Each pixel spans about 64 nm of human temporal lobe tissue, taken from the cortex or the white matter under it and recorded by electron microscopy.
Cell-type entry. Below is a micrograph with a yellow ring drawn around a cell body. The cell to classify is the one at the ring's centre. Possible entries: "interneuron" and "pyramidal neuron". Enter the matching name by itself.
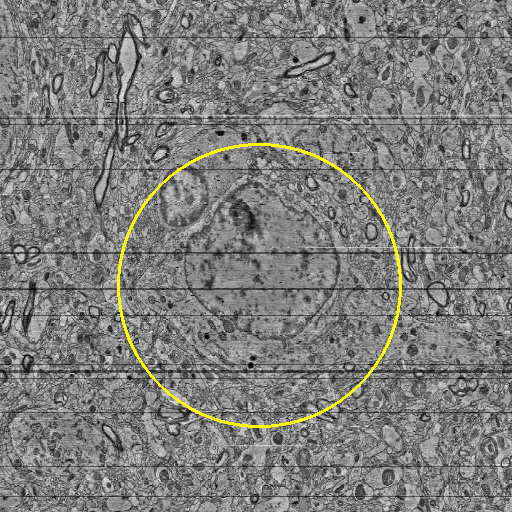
pyramidal neuron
